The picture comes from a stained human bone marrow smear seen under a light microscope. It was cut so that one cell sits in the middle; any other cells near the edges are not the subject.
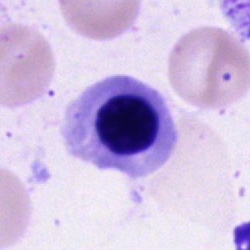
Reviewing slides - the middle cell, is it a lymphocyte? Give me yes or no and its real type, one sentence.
No, it is a normoblast, not a lymphocyte, that lies at the centre of the crop.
